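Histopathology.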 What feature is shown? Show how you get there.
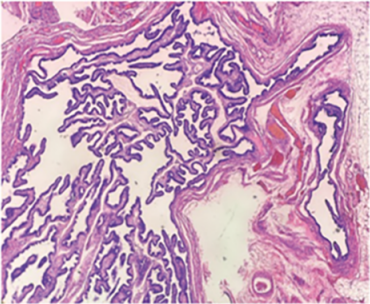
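Complex branching, frond-like mucosal folds project into a lumen. The folds are covered by a thin layer of epithelium. A wall of pink fibromuscular tissue surrounds the lumen.
Hence: tubular structures resembling fallopian tubes.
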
